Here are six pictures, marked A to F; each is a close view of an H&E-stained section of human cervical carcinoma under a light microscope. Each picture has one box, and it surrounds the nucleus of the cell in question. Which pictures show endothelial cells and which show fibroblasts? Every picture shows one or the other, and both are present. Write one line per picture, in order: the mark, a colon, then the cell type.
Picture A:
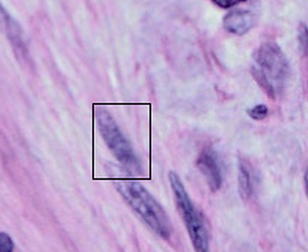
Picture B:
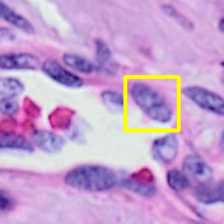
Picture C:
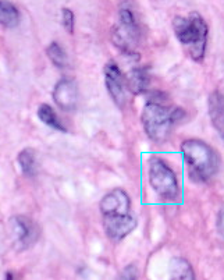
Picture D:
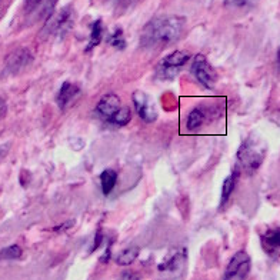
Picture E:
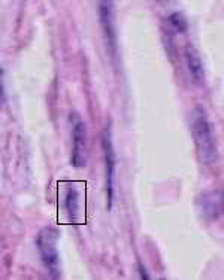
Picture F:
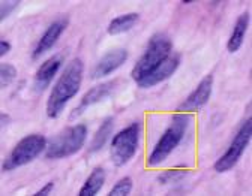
A: fibroblast
B: endothelial cell
C: endothelial cell
D: endothelial cell
E: fibroblast
F: fibroblast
